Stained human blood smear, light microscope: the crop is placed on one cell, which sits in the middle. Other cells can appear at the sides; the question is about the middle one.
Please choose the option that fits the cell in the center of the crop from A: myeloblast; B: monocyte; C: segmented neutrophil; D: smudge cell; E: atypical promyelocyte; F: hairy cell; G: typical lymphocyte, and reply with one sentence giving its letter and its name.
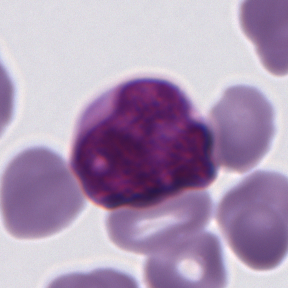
Option A is the right one, for the cell in the middle is a myeloblast.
